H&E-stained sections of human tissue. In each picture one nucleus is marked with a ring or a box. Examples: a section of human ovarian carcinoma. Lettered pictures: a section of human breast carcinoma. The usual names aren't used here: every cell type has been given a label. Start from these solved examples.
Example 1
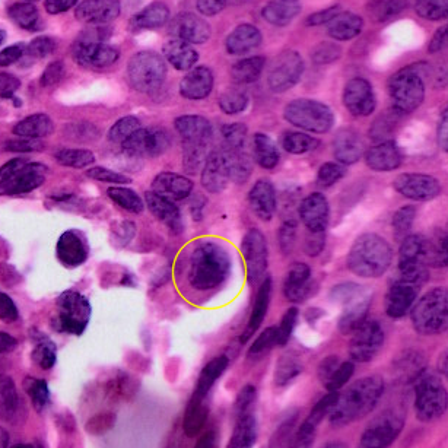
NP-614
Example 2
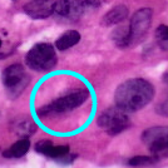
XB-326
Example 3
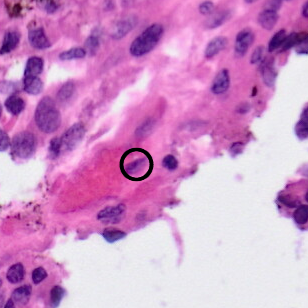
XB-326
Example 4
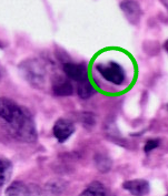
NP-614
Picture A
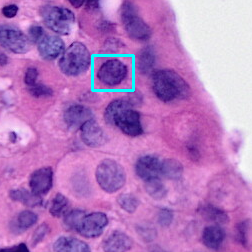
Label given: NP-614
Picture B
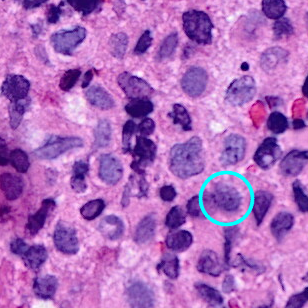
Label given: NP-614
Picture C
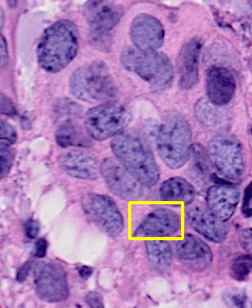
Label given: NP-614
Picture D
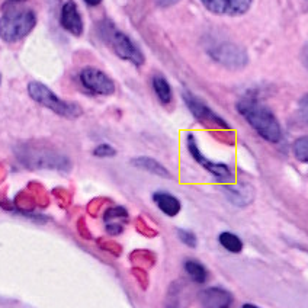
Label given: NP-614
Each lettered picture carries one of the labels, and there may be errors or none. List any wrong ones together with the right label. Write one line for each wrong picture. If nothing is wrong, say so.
D should be XB-326, not NP-614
